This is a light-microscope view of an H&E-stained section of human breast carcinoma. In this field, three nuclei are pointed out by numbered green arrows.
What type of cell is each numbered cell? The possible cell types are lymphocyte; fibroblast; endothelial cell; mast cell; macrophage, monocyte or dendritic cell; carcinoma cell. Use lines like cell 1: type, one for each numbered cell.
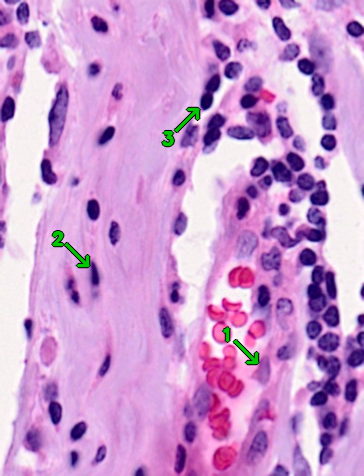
cell 1: endothelial cell
cell 2: lymphocyte
cell 3: lymphocyte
